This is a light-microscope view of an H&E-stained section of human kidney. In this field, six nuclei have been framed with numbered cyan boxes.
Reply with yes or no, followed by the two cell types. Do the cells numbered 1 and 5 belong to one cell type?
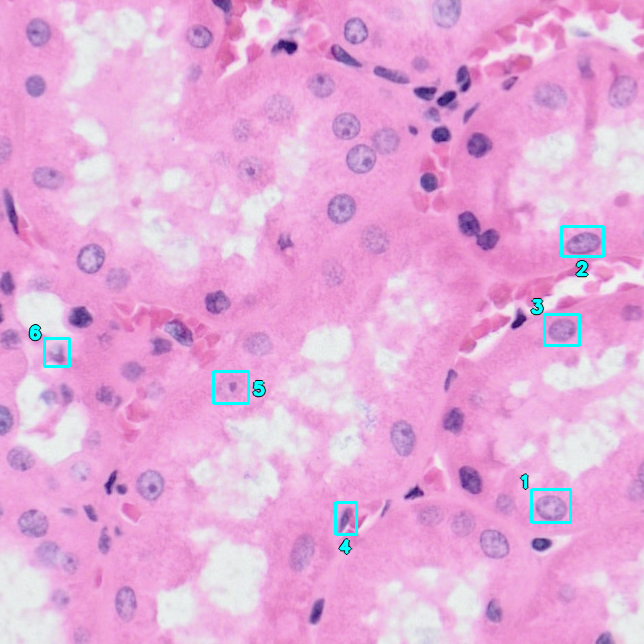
Yes, cells 1 and 5 are both classed as proximal tubule cells.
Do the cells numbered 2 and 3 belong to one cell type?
Yes, the cells marked 2 and 3 are both proximal tubule cells.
